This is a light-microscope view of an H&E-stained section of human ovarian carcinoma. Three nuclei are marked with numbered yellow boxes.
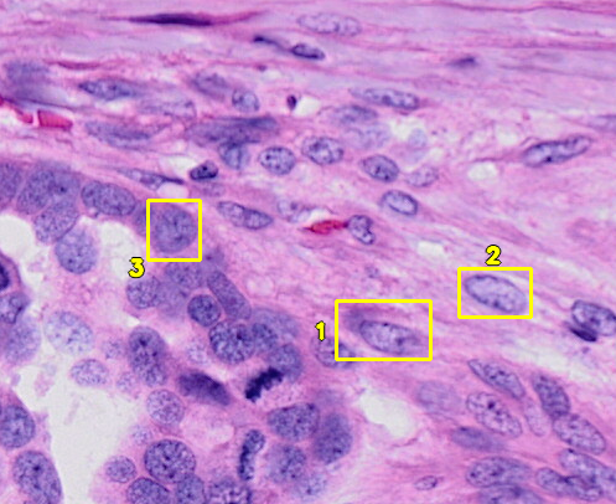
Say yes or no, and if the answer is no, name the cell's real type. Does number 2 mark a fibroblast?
Yes.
